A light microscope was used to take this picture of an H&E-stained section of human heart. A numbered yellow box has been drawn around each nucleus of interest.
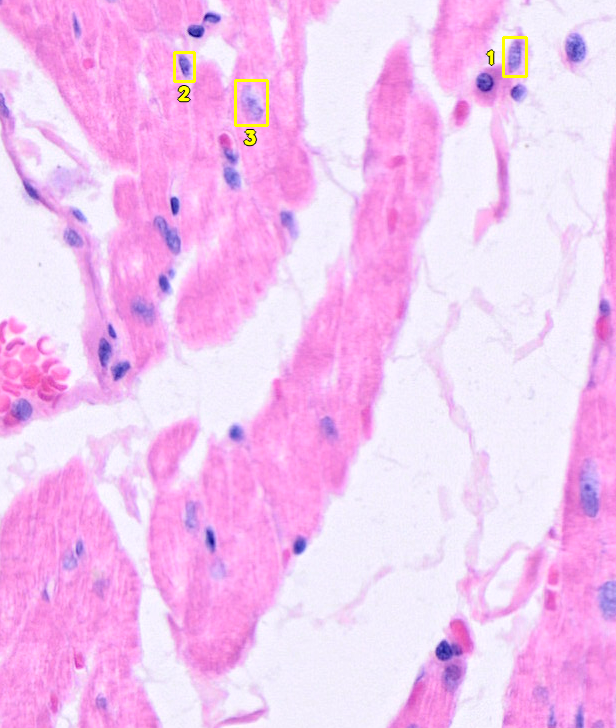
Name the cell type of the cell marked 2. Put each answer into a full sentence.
The cell marked with the number 2 is a fibroblast.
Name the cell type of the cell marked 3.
Denoted by the label 3 in the section is a cardiomyocyte.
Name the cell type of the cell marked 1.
Cell 1, among those numbered, is a fibroblast.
